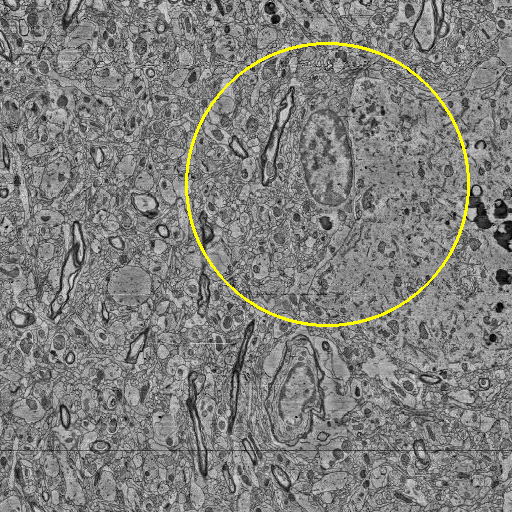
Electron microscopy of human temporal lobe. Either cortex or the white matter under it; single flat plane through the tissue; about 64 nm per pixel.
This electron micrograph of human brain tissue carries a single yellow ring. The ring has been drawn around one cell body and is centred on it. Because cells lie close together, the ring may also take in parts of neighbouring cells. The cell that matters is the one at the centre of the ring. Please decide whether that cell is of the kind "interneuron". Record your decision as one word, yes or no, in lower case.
no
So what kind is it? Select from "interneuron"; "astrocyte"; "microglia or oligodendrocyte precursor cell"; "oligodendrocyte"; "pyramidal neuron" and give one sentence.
So the cell at the centre is an oligodendrocyte.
